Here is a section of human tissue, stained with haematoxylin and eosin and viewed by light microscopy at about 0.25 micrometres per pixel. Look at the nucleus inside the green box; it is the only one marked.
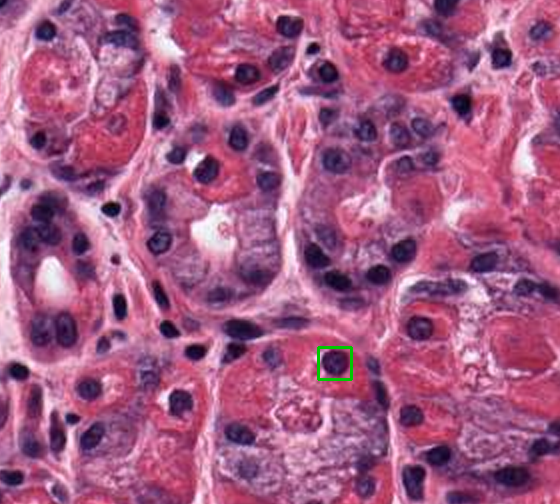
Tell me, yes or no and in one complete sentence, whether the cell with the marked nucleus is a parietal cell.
Yes, the marked nucleus belongs to a parietal cell in this image.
